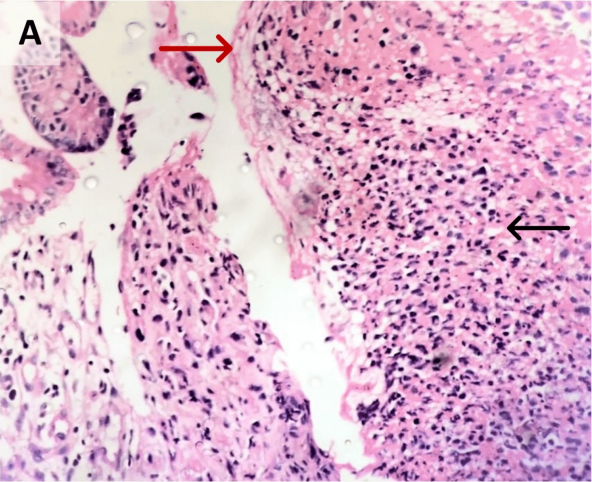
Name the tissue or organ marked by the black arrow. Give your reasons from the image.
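The black arrow points into a dense cellular area beneath the surface. Many scattered dark nuclei of varied shapes lie in loose pink stroma.
Hence: granulation tissue.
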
